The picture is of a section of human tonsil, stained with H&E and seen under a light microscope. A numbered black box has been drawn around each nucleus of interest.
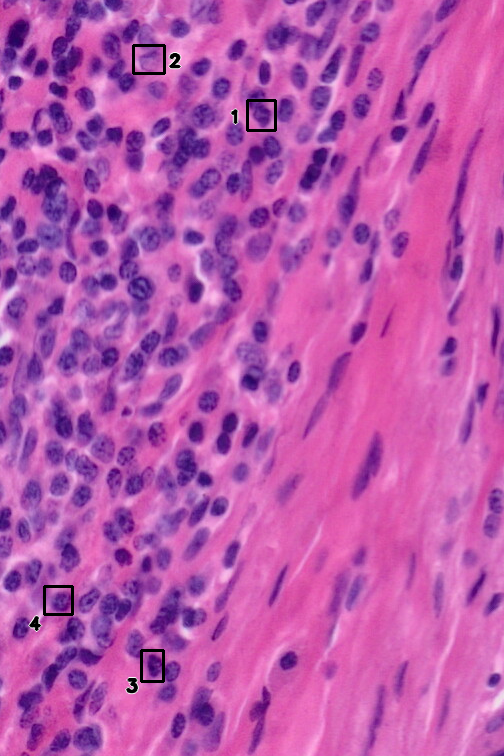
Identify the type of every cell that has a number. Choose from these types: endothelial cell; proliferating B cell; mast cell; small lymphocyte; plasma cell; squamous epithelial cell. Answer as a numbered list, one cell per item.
1. plasma cell
2. endothelial cell
3. plasma cell
4. plasma cell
